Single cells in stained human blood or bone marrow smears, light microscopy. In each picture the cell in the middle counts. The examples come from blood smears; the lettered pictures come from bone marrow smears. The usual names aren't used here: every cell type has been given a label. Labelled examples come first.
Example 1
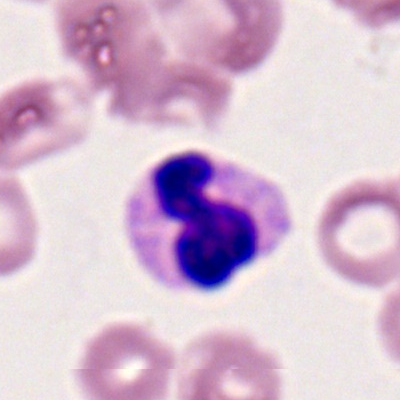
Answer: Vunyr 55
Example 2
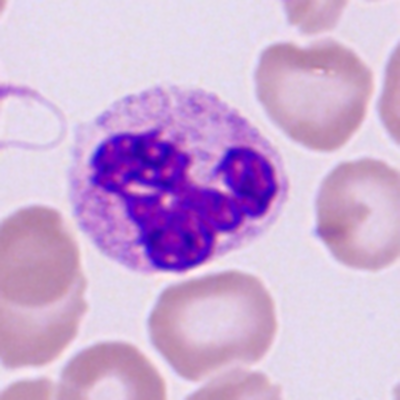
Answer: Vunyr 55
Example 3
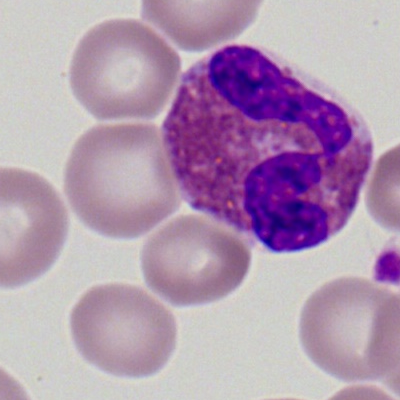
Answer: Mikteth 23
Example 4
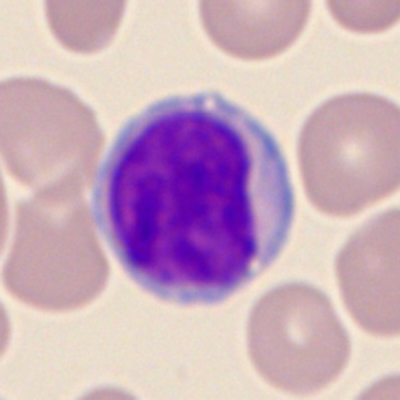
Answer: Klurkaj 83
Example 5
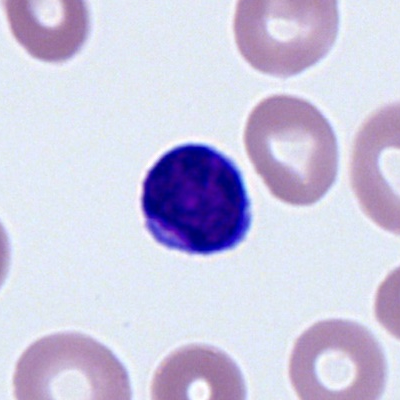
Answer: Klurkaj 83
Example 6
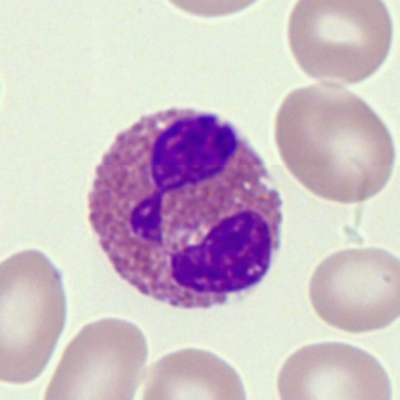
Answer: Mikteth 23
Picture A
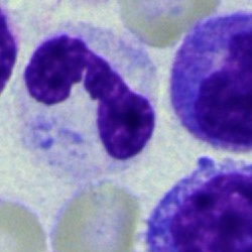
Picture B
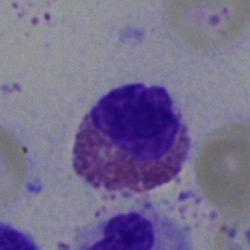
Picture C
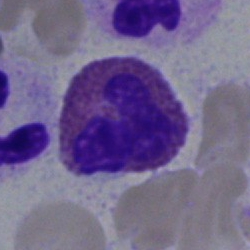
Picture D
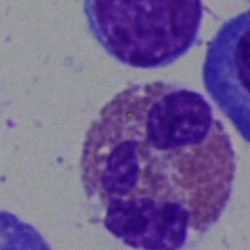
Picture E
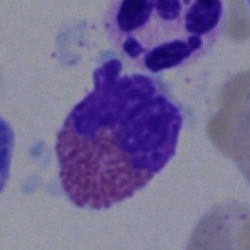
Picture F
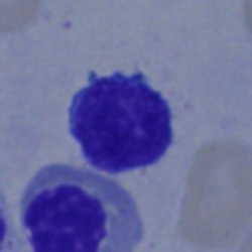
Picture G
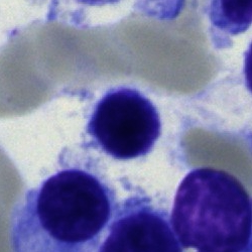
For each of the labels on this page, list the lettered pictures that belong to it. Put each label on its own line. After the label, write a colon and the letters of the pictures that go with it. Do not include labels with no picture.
Vunyr 55: A
Mikteth 23: B, C, D, E
Klurkaj 83: F, G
